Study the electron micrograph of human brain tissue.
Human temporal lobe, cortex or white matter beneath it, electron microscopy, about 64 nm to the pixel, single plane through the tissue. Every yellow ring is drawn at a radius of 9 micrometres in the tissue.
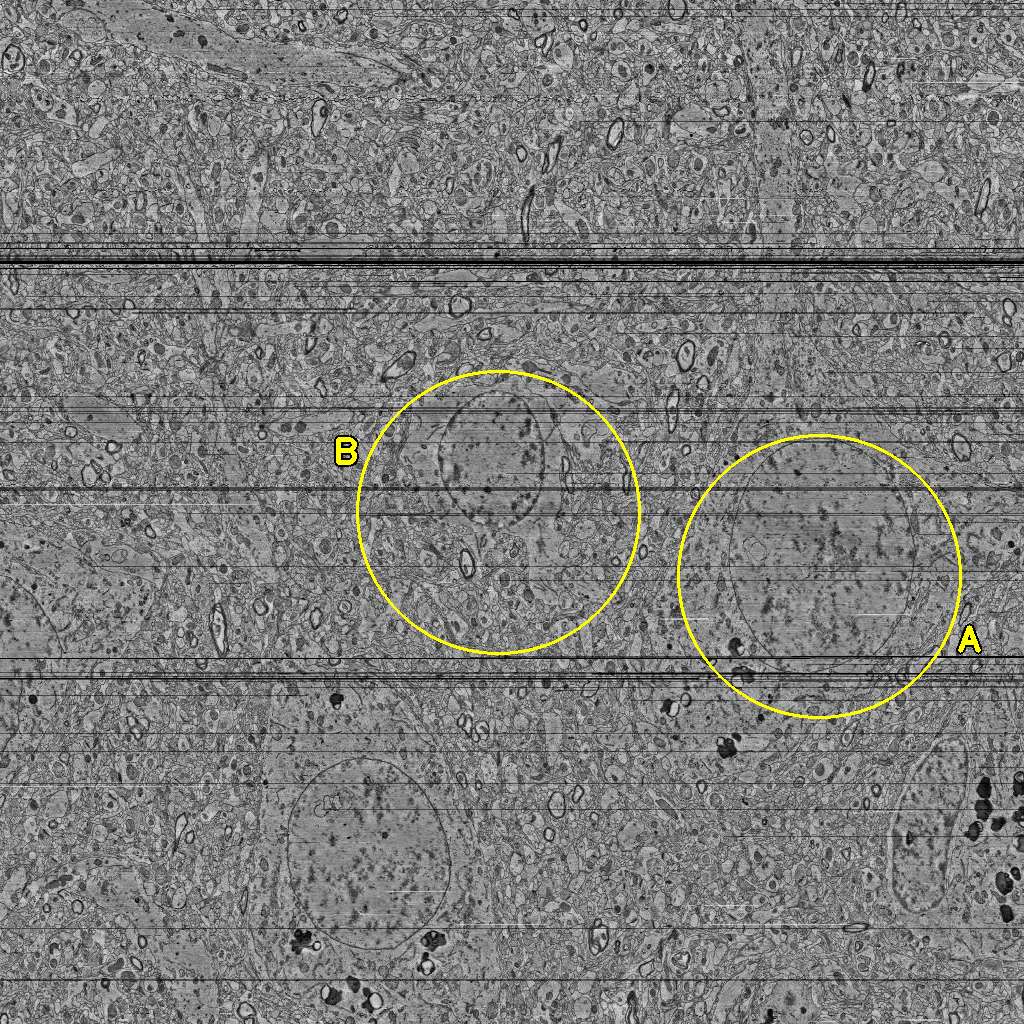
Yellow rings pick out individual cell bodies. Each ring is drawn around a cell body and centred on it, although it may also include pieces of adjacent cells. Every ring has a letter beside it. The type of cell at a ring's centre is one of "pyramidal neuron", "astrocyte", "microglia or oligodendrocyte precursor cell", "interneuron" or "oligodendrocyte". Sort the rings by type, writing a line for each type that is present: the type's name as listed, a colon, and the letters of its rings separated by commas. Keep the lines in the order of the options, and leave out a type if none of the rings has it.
pyramidal neuron: A
astrocyte: B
